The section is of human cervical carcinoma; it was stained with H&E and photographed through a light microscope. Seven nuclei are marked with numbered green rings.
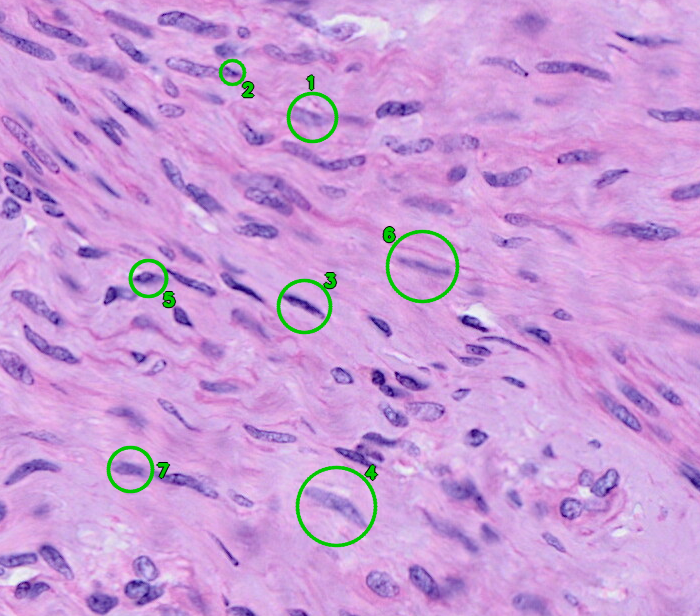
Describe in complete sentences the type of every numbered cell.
Cells 1, 2 and 6 are smooth muscle cells. Cells 3, 4, 5 and 7 are fibroblasts.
